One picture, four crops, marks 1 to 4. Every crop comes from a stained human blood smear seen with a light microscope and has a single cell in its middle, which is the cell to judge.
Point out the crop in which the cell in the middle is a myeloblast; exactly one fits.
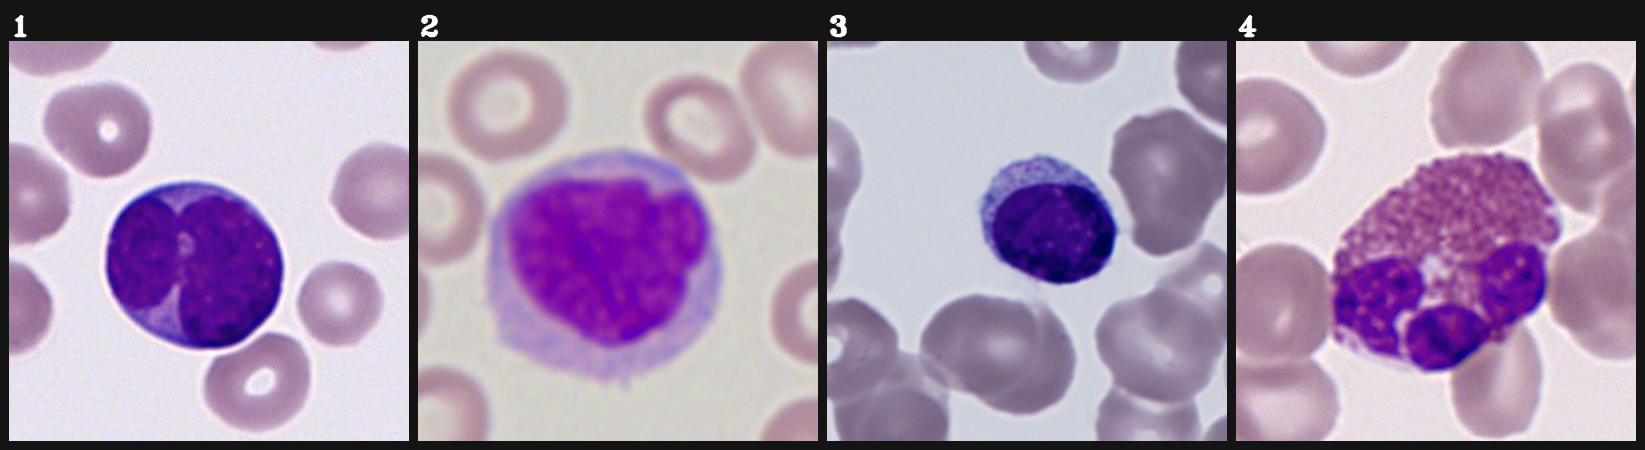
1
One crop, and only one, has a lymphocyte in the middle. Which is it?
3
